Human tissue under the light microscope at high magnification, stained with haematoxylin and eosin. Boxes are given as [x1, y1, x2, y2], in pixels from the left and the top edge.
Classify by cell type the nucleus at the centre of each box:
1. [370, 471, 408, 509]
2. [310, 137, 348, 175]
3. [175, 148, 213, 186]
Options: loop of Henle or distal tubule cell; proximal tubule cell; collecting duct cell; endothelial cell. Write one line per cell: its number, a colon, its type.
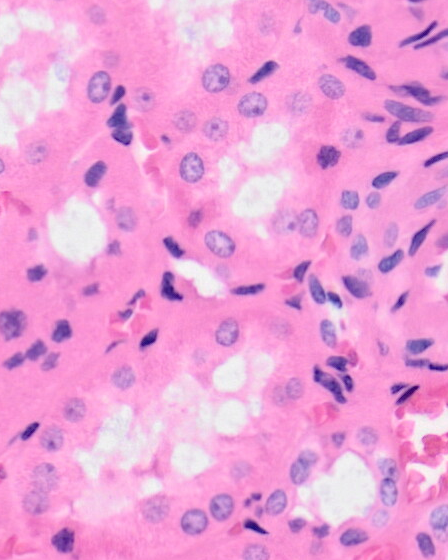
1: collecting duct cell
2: proximal tubule cell
3: proximal tubule cell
